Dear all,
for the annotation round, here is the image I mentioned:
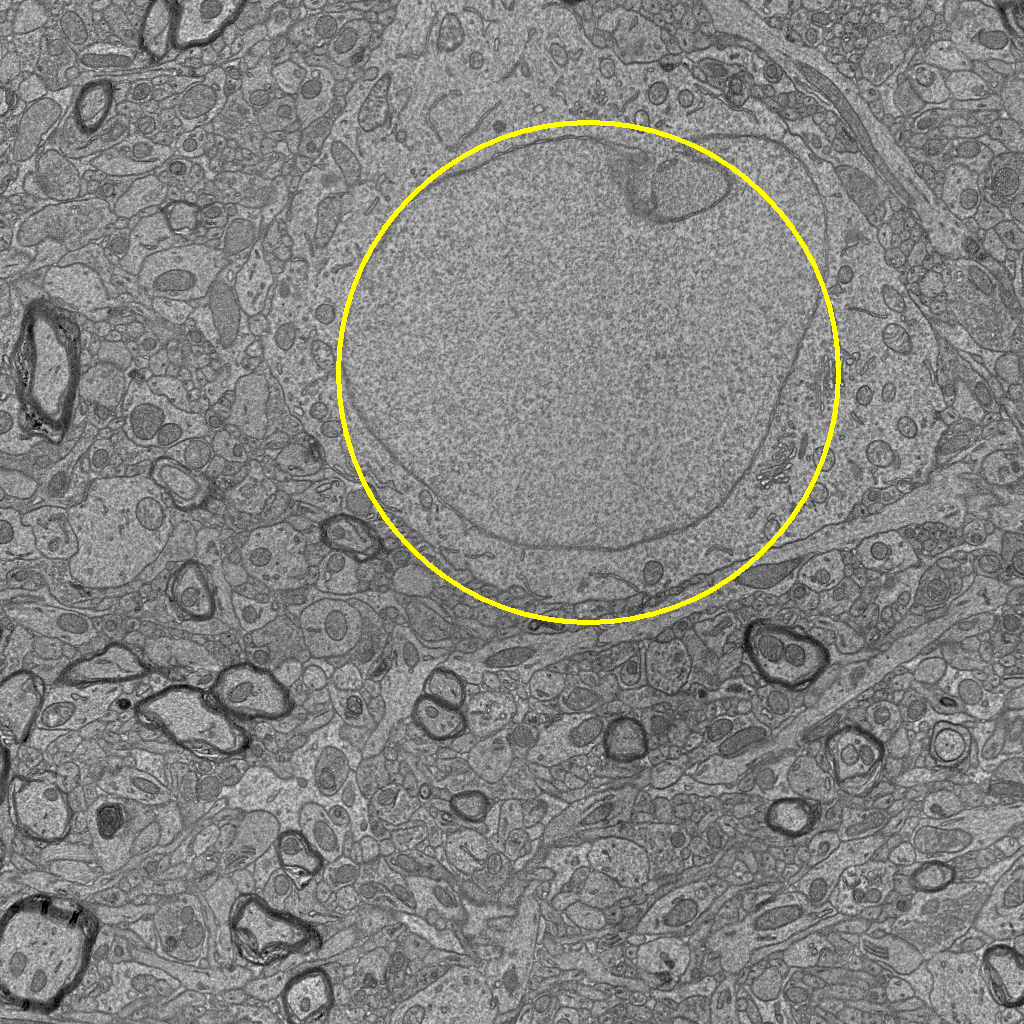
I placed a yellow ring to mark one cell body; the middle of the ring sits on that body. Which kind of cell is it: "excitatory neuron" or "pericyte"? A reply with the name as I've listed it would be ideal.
excitatory neuron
